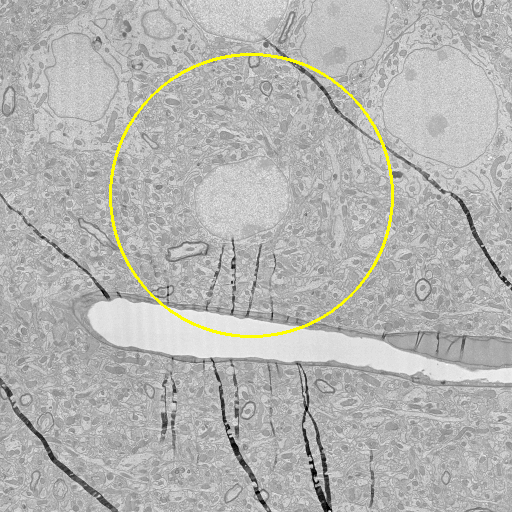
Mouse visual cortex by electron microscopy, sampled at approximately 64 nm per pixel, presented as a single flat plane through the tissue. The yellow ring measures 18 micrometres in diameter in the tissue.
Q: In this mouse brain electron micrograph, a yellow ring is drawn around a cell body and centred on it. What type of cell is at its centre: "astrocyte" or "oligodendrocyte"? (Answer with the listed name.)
astrocyte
